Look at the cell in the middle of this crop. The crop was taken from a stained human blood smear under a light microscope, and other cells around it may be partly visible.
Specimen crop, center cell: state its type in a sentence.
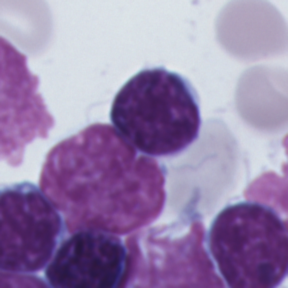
The cell shown in the center of this light-microscope crop is a myeloblast.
